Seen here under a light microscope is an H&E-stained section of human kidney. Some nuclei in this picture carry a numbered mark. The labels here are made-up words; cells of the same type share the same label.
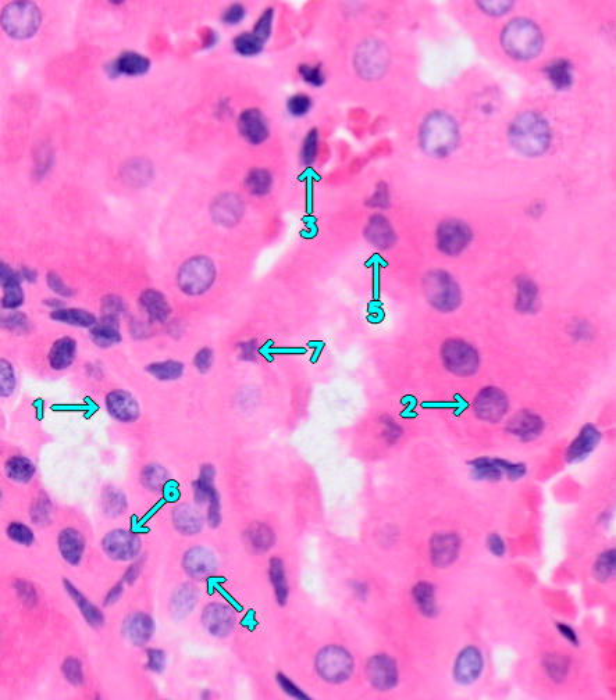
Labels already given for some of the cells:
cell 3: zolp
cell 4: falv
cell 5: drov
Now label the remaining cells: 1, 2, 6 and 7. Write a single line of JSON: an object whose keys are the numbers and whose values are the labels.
{"1": "falv", "2": "drov", "6": "falv", "7": "drov"}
